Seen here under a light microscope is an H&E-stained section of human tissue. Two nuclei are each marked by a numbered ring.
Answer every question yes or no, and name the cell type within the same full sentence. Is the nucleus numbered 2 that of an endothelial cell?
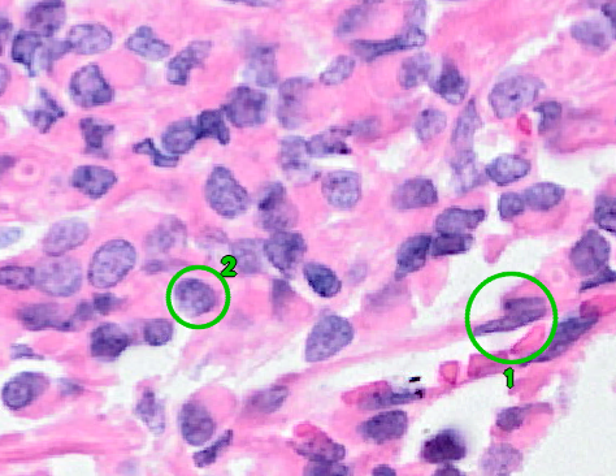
No, cell 2 is not an endothelial cell; it is a carcinoma cell.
